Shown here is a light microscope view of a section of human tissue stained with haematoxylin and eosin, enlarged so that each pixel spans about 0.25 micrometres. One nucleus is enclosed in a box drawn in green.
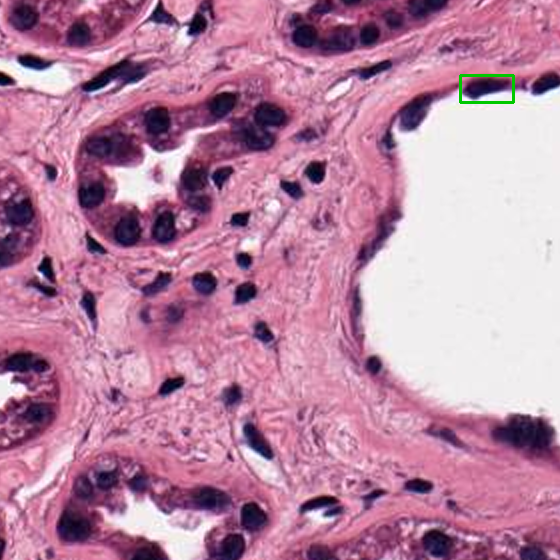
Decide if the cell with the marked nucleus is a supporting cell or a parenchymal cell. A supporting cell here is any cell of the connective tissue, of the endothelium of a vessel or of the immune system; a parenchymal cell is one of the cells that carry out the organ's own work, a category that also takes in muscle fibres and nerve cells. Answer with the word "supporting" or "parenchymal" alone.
supporting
